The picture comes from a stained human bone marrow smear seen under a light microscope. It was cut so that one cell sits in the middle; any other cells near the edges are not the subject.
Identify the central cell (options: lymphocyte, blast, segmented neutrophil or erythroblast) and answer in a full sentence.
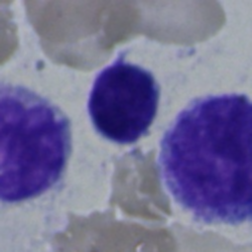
The middle cell in this particular crop is a lymphocyte.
